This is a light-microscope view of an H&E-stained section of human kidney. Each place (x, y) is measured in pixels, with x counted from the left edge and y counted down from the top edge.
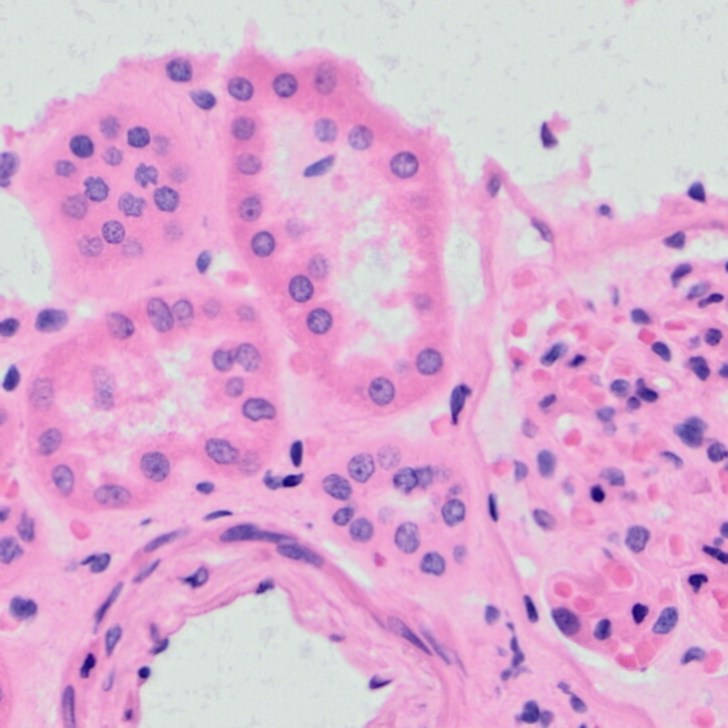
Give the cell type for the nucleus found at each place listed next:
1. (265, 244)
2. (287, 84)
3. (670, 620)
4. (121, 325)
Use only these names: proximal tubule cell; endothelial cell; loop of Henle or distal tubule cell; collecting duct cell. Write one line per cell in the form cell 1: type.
cell 1: proximal tubule cell
cell 2: proximal tubule cell
cell 3: endothelial cell
cell 4: proximal tubule cell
